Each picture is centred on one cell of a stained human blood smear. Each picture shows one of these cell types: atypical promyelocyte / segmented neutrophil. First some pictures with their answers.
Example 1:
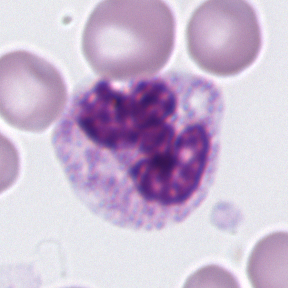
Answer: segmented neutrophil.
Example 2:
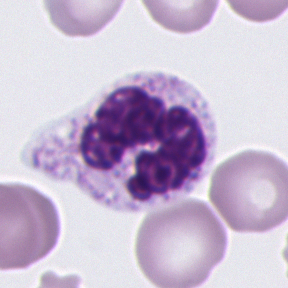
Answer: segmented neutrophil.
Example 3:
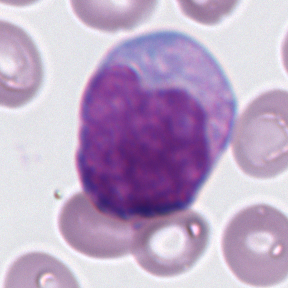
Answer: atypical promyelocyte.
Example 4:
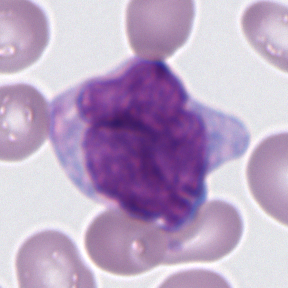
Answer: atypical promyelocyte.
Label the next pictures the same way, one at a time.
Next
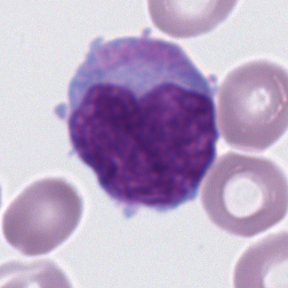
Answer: atypical promyelocyte.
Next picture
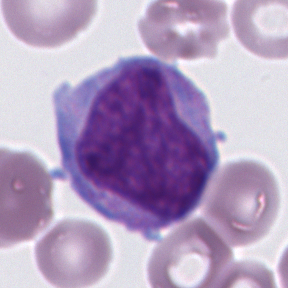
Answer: atypical promyelocyte.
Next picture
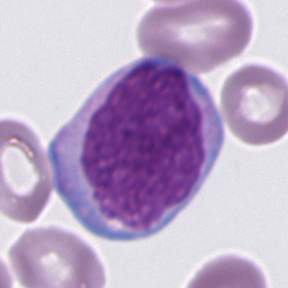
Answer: atypical promyelocyte.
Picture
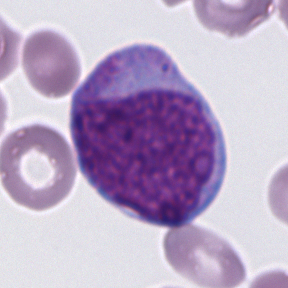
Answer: atypical promyelocyte.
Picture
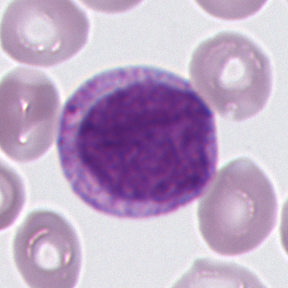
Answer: atypical promyelocyte.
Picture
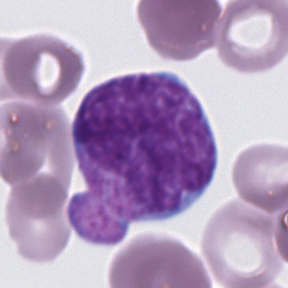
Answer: atypical promyelocyte.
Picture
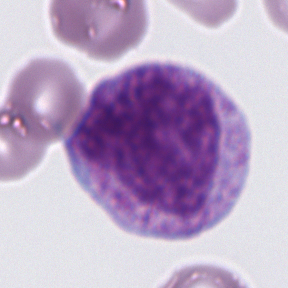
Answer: atypical promyelocyte.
